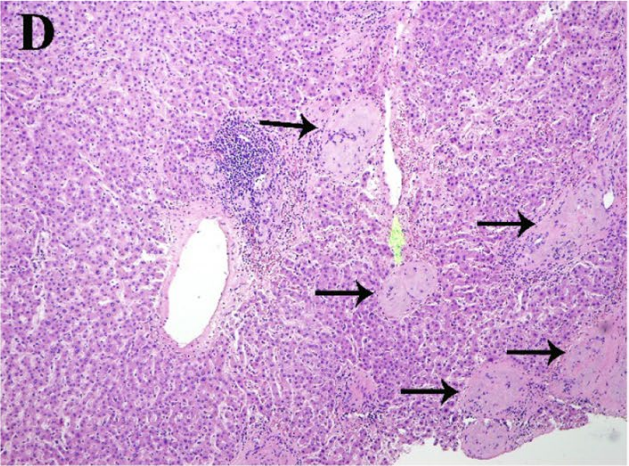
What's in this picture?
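Low-power view of liver parenchyma made of hepatocyte plates with pink cytoplasm and round nuclei. Near the centre an open vessel lumen is flanked by a dense cluster of small dark nuclei. Several rounded pale-pink fibrous nodules without open lumina are scattered through the parenchyma.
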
